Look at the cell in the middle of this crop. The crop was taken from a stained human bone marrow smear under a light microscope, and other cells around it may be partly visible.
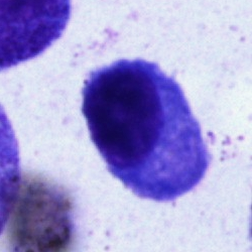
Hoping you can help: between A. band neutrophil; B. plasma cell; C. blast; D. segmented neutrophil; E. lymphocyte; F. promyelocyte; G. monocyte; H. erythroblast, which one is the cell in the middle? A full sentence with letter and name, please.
The cell at the centre is a plasma cell, and option B accordingly is correct.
